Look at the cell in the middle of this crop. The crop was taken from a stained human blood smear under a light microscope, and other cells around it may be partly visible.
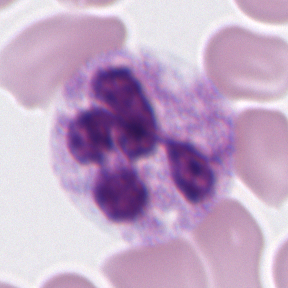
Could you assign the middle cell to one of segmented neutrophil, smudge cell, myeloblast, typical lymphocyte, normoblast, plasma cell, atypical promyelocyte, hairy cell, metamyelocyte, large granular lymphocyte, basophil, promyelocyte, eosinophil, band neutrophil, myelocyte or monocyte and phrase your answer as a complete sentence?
As for the cell in the middle, it is a segmented neutrophil.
